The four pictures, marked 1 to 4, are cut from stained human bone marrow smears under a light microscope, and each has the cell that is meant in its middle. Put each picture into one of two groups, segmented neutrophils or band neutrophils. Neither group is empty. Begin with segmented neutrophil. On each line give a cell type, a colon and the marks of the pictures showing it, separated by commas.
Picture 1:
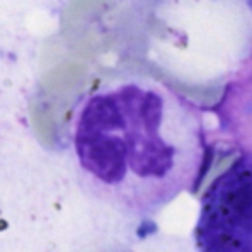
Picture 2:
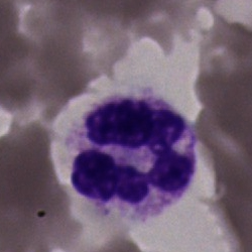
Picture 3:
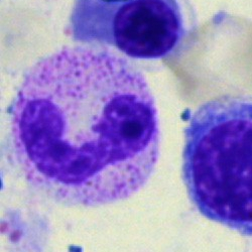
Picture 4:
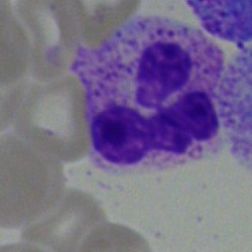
segmented neutrophil: 1, 2, 4
band neutrophil: 3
